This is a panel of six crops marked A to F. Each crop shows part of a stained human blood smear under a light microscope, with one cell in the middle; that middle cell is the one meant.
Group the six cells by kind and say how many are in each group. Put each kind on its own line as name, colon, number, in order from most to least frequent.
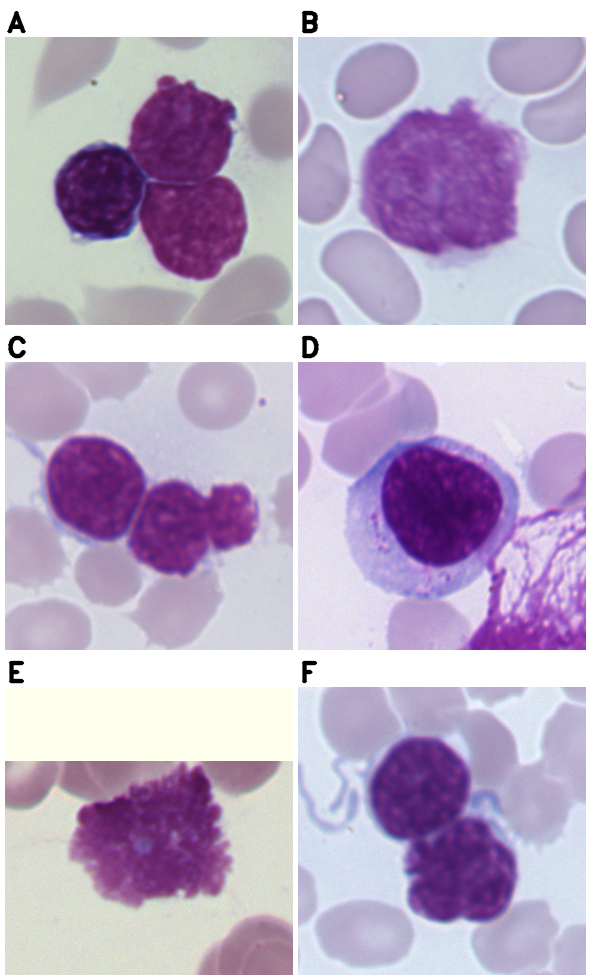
myeloblast: 3
smudge cell: 2
large granular lymphocyte: 1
